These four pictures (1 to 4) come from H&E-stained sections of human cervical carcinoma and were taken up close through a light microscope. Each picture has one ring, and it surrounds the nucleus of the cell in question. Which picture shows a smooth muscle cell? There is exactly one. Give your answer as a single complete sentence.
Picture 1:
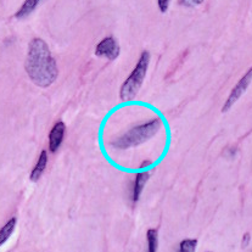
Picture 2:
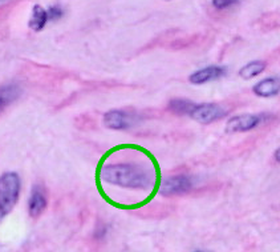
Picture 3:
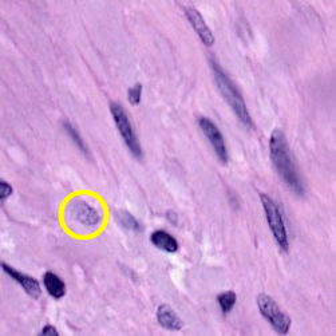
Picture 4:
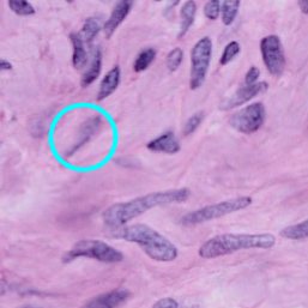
Picture 2 is the one that shows the smooth muscle cell.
